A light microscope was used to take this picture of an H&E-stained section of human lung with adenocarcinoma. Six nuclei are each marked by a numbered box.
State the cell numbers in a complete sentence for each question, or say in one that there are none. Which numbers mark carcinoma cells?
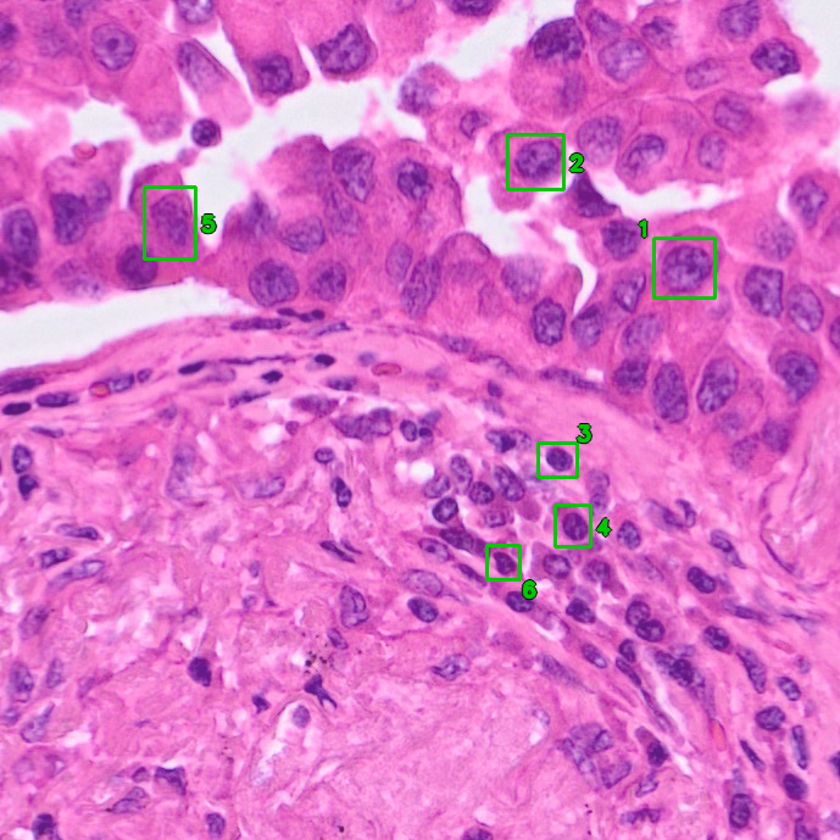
The cells that have been numbered 1, 2 and 5 are carcinoma cells.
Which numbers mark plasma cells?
By cell type, the cells numbered 4 and 6 are plasma cells.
